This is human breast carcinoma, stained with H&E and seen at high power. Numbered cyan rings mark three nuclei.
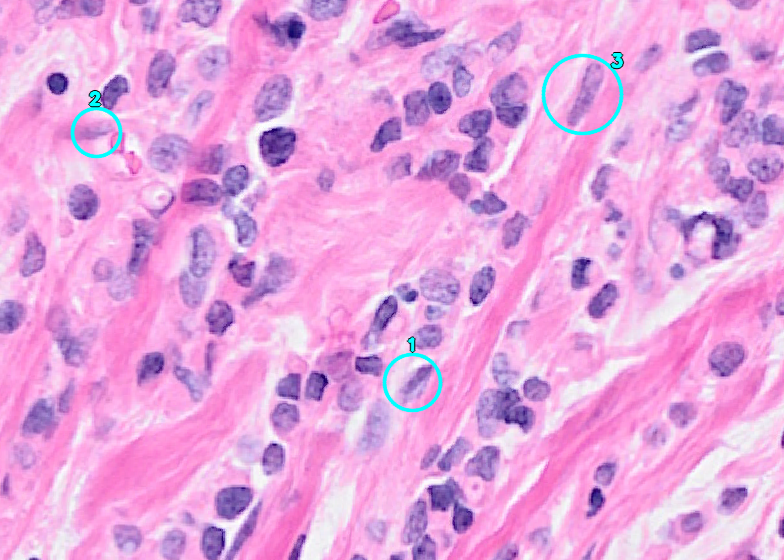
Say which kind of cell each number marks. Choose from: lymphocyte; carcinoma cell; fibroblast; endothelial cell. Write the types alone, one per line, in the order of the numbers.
fibroblast
endothelial cell
fibroblast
